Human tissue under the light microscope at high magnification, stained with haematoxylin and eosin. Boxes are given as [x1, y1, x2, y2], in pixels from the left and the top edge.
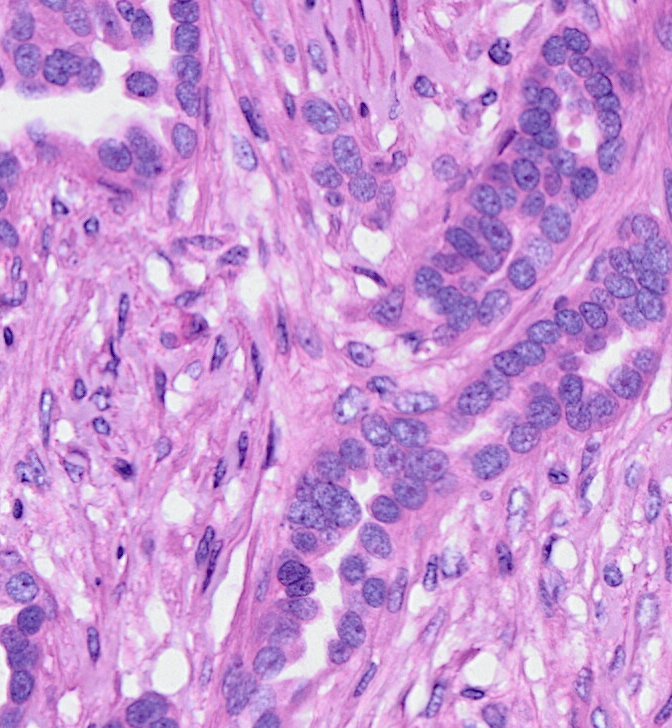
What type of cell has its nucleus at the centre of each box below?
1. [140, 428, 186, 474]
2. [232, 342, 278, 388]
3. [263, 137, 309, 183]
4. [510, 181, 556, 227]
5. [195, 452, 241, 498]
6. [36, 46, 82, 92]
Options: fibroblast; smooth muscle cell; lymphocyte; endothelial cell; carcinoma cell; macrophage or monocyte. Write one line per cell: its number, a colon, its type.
1: fibroblast
2: fibroblast
3: fibroblast
4: carcinoma cell
5: fibroblast
6: carcinoma cell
